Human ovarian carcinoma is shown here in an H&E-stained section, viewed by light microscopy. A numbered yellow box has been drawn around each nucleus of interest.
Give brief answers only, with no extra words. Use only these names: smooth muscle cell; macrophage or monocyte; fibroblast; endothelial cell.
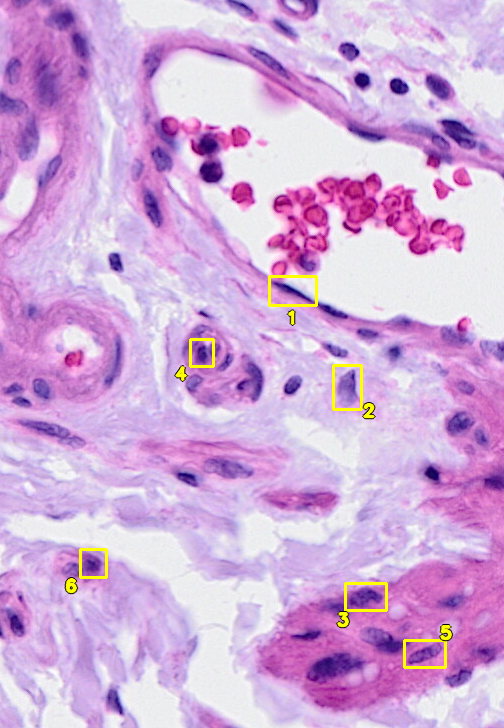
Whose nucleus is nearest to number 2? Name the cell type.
fibroblast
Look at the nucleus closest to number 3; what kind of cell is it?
smooth muscle cell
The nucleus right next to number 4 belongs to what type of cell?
endothelial cell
